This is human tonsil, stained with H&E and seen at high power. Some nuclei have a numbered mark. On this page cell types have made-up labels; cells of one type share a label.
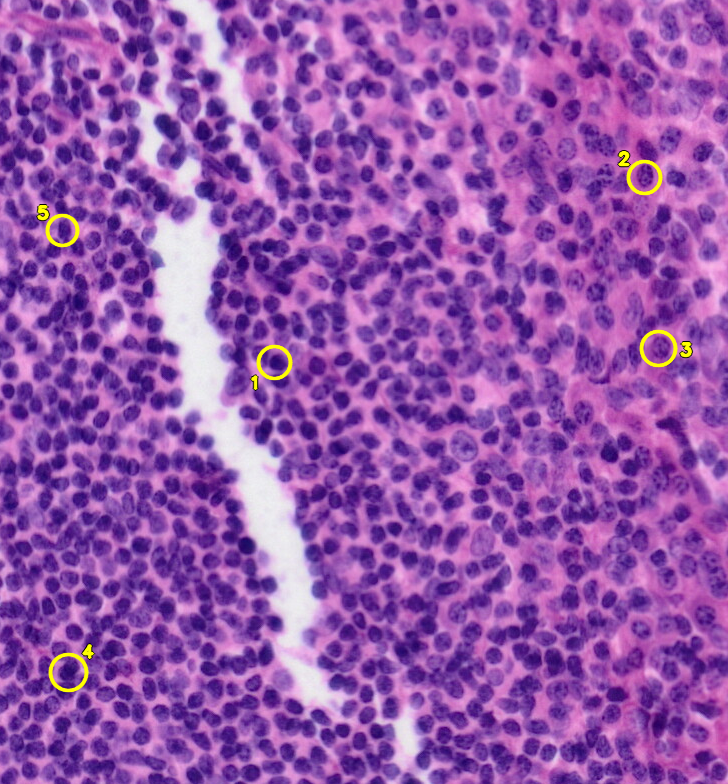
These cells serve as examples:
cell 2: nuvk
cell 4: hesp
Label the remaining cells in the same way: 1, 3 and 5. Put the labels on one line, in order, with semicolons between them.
hesp; nuvk; hesp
